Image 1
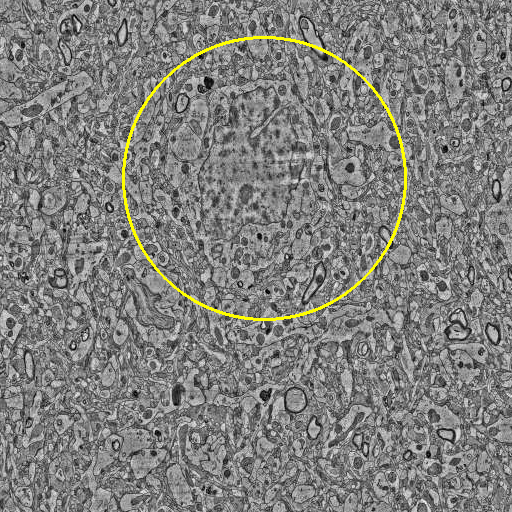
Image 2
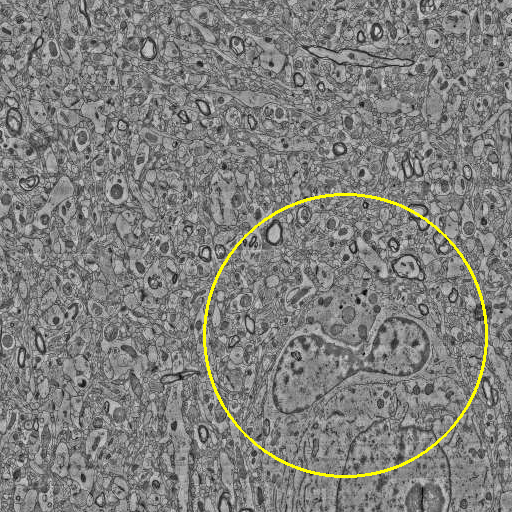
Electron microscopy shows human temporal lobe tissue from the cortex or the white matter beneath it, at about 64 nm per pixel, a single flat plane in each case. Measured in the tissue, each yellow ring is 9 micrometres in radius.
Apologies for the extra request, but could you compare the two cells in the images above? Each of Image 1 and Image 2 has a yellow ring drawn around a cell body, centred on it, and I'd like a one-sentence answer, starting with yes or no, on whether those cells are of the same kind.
No, the two cells are of two kinds.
